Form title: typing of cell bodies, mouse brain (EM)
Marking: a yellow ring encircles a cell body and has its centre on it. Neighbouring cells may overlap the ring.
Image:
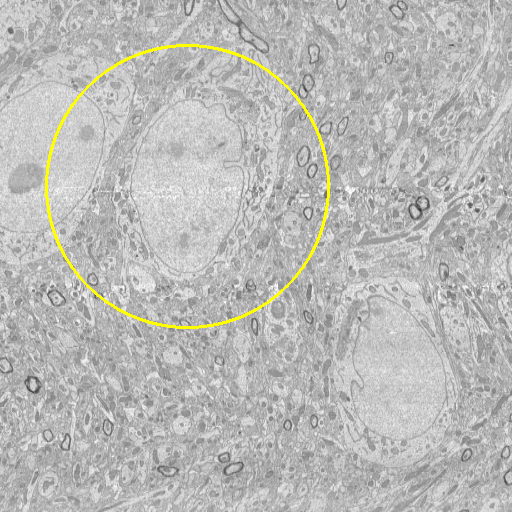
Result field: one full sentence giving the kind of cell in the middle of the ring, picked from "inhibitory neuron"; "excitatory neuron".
In the picture, the ring is centred on an inhibitory neuron, whose cell body it encircles.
